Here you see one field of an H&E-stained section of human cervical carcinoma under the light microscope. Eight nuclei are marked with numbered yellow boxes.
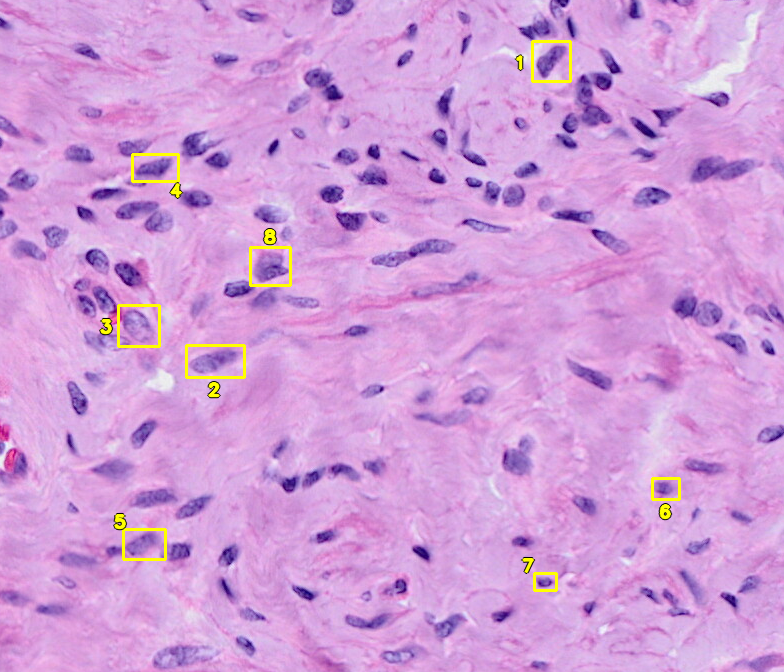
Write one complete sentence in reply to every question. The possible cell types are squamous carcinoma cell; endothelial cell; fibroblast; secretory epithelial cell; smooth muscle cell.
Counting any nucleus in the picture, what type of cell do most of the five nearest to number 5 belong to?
The majority of the five nuclei closest to number 5 belong to fibroblasts.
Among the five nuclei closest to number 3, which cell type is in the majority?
Endothelial cells make up most of the five nuclei closest to number 3.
